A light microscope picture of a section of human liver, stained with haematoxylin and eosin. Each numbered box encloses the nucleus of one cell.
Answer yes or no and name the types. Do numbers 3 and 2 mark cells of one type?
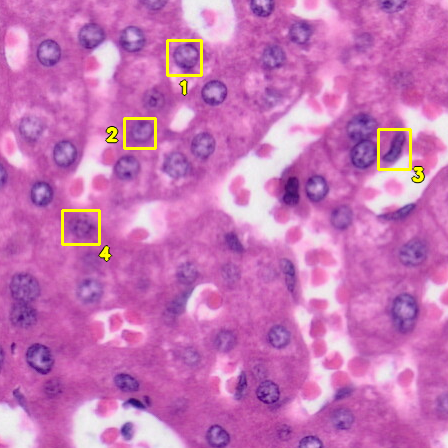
No, cell 3 is a Kupffer cell and cell 2 is a hepatocyte.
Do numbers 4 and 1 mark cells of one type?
Yes, both are hepatocytes.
